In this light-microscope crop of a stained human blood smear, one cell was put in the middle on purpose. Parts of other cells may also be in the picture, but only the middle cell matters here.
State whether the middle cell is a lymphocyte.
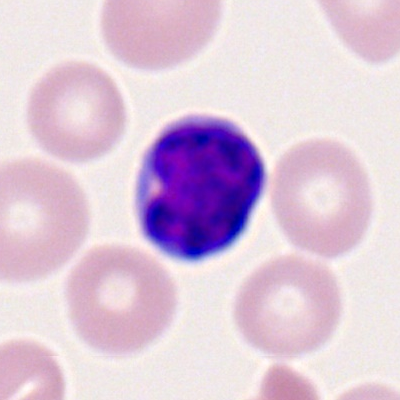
yes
